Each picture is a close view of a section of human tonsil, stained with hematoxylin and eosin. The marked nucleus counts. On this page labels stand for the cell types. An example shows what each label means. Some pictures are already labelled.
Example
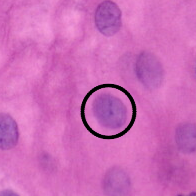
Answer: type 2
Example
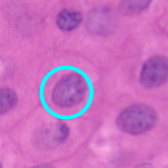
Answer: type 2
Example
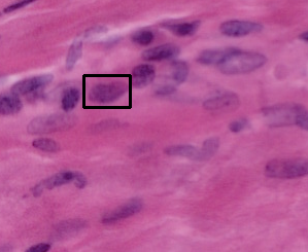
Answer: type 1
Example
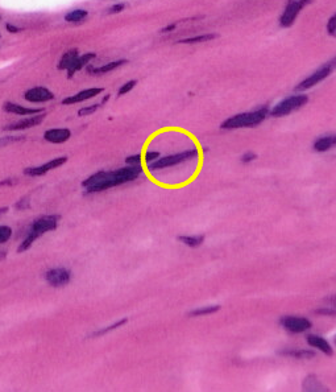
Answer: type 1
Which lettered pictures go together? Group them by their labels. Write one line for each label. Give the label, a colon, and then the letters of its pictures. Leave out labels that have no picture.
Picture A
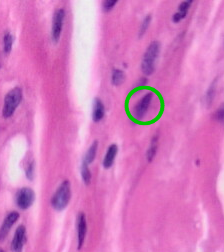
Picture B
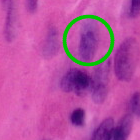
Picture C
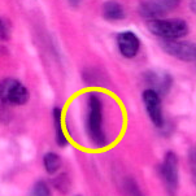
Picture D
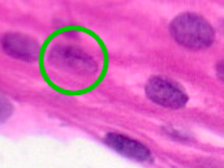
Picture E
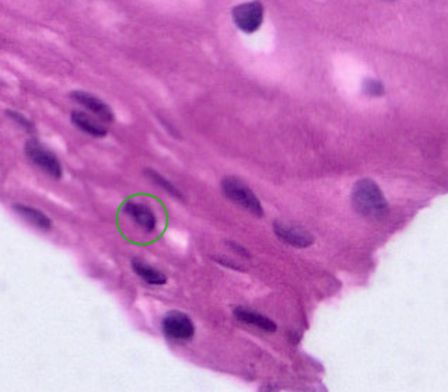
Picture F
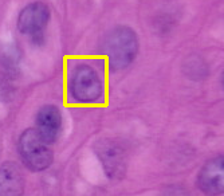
type 2: D, E, F
type 1: A, B, C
